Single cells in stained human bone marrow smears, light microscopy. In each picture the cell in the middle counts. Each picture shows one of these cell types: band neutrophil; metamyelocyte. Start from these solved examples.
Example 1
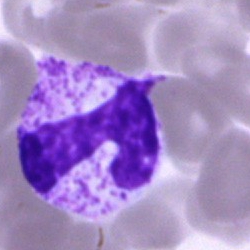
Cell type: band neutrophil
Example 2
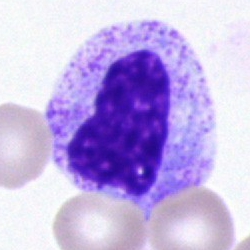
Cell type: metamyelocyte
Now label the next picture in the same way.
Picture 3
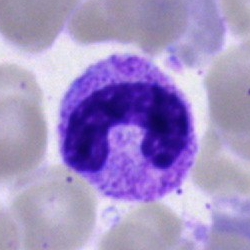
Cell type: band neutrophil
